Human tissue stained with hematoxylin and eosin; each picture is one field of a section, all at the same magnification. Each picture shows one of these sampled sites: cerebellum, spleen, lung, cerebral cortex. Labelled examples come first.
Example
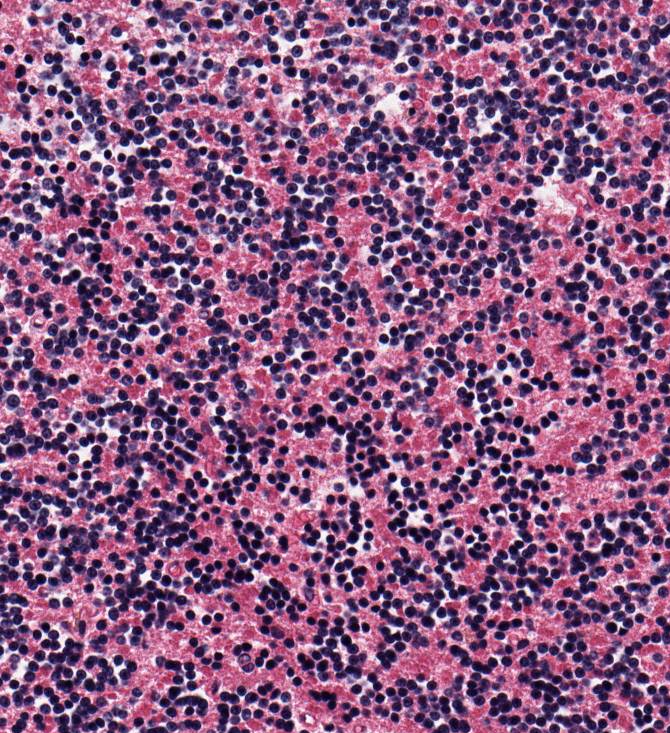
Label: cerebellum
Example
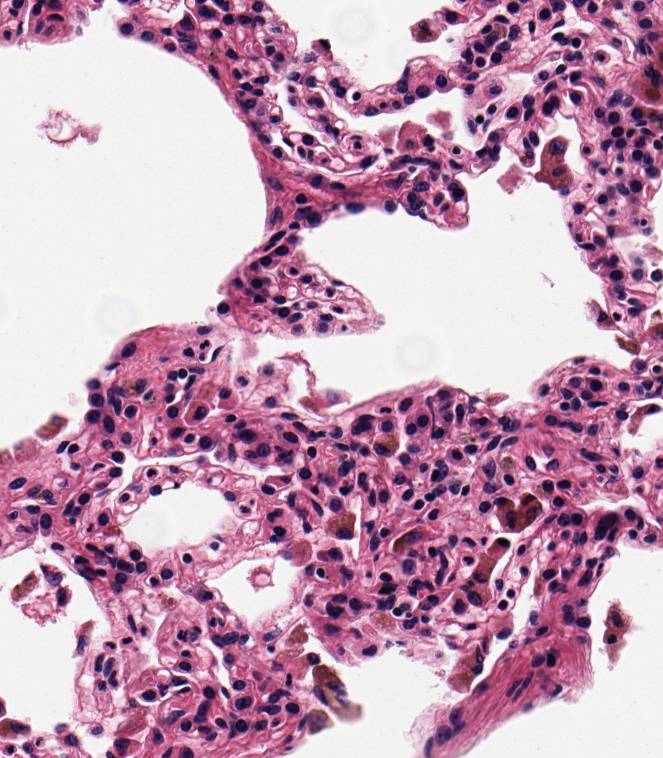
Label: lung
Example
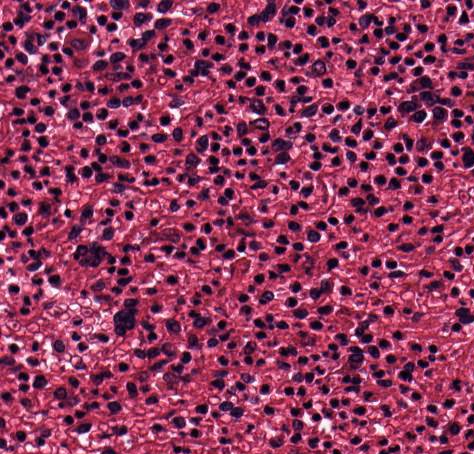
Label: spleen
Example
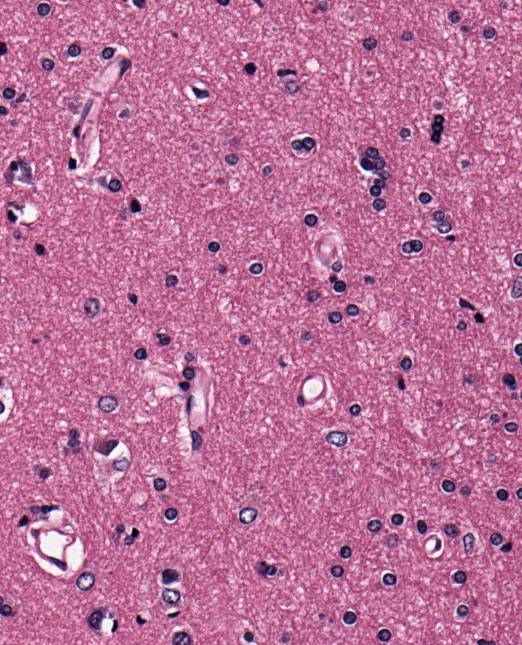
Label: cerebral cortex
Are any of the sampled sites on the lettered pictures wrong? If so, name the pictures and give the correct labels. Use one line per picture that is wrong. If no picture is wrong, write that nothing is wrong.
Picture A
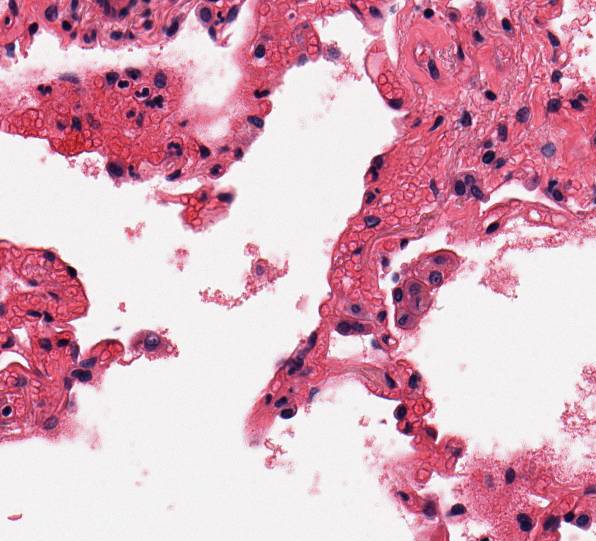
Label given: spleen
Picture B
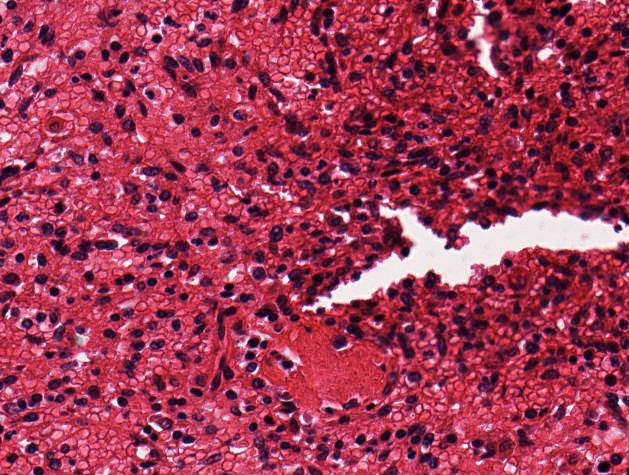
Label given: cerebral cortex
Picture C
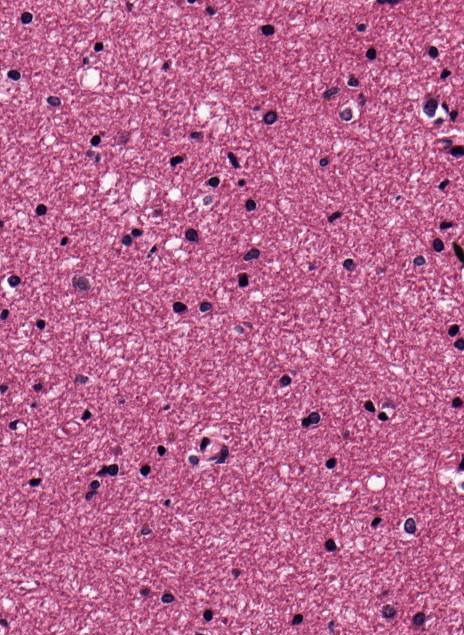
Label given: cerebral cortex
A is labelled spleen; correct label: lung
B is labelled cerebral cortex; correct label: spleen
